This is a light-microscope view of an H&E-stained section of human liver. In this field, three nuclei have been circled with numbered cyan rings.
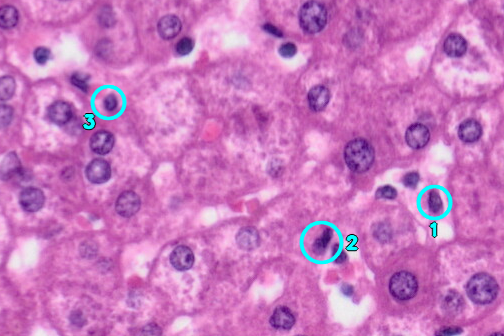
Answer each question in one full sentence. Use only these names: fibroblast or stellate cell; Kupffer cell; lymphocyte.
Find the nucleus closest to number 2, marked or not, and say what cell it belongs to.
The nucleus nearest to number 2 is that of a lymphocyte.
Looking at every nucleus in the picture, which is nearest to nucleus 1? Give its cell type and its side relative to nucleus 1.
Just above and to the left of nucleus 1 lies the nearest nucleus, which belongs to a lymphocyte.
